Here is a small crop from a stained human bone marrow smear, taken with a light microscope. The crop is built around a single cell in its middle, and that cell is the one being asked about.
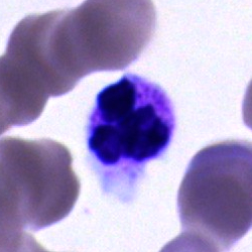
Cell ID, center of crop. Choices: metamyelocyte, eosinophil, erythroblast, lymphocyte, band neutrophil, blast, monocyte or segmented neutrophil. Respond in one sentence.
The cell under consideration, at the middle of the crop, is a segmented neutrophil.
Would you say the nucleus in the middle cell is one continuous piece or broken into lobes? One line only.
You can count two or more lobes in this nucleus.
